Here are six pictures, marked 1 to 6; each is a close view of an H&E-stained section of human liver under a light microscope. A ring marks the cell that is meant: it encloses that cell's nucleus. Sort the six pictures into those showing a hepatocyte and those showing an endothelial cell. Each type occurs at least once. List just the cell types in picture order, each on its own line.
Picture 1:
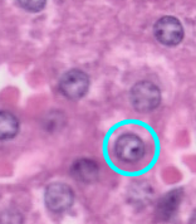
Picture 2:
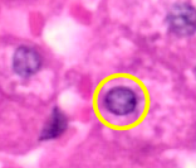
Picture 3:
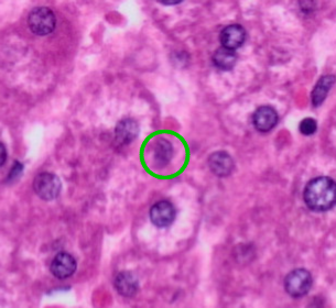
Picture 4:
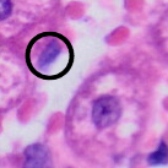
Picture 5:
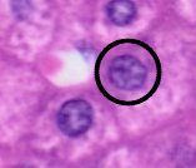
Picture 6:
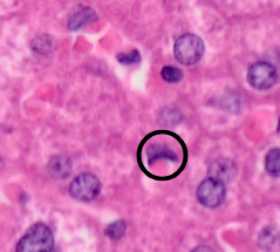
hepatocyte
hepatocyte
endothelial cell
endothelial cell
hepatocyte
endothelial cell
